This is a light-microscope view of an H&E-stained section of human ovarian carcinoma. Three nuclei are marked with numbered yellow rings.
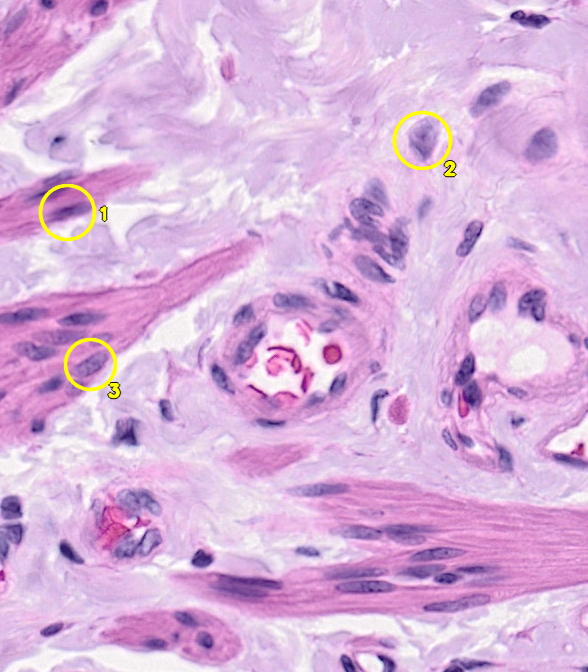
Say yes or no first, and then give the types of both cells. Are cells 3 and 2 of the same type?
No, cell 3 is a smooth muscle cell and cell 2 is a fibroblast.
